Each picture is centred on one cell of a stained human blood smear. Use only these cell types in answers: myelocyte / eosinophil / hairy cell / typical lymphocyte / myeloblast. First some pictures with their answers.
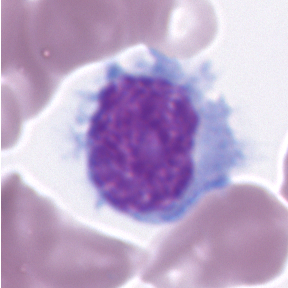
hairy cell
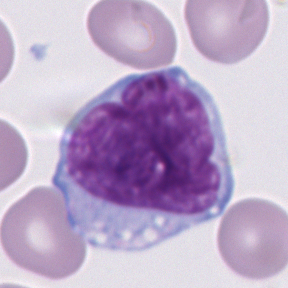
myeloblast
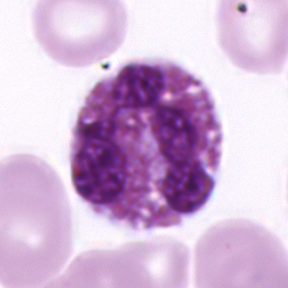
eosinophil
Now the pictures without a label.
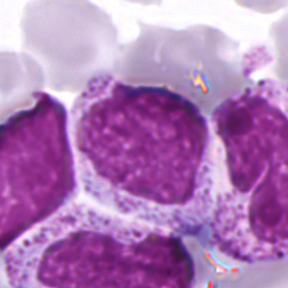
myelocyte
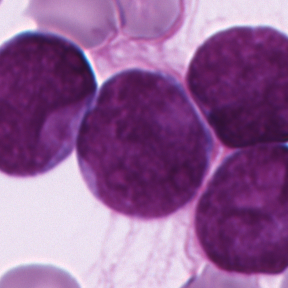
myeloblast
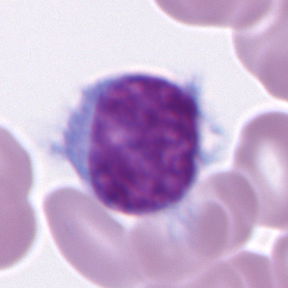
hairy cell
